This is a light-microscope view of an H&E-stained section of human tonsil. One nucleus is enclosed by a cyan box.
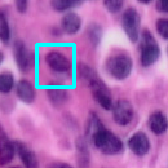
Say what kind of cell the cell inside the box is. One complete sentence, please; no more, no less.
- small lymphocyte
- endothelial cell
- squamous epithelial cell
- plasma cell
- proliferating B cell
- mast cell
What the cell inside the box represents is an endothelial cell.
